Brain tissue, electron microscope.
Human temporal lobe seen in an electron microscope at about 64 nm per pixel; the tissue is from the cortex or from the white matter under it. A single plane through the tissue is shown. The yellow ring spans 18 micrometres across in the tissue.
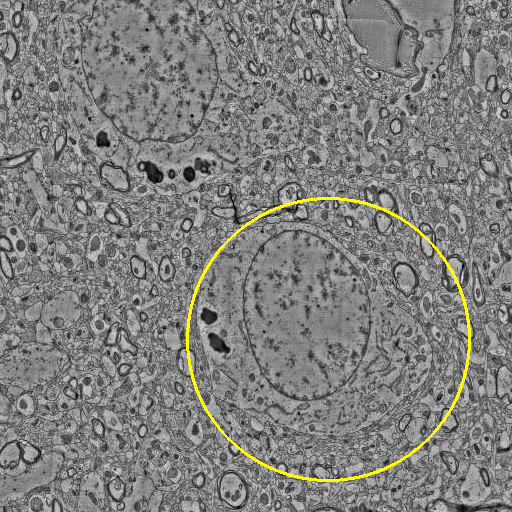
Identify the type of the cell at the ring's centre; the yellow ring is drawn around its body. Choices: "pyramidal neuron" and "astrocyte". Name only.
pyramidal neuron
